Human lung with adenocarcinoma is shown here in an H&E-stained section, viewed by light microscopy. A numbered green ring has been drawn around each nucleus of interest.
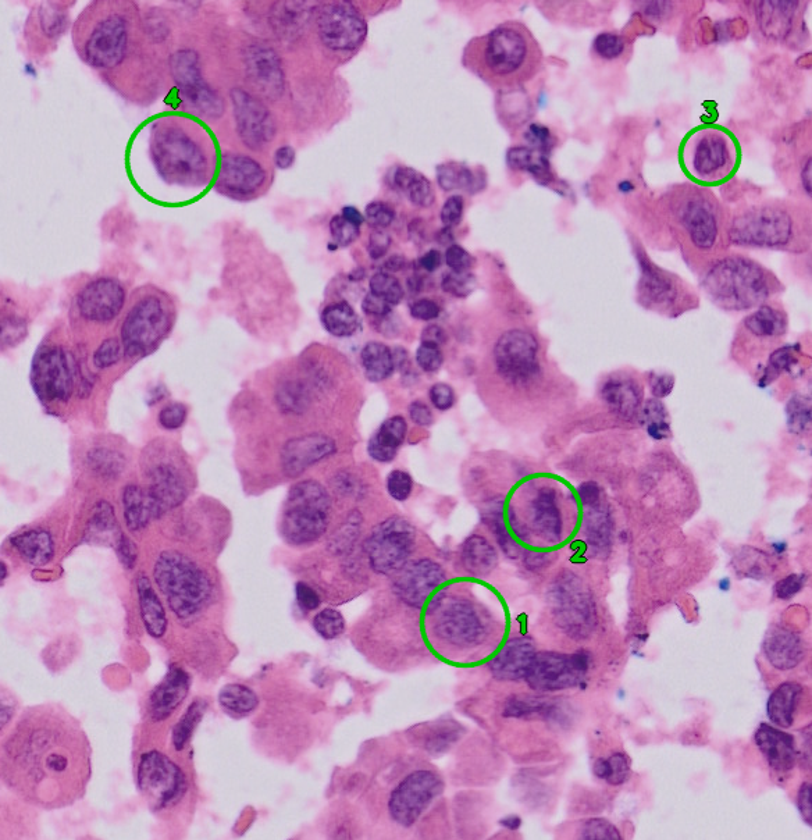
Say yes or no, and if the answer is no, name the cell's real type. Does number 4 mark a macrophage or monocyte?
No, it is a carcinoma cell.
